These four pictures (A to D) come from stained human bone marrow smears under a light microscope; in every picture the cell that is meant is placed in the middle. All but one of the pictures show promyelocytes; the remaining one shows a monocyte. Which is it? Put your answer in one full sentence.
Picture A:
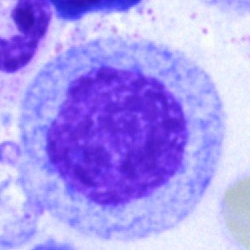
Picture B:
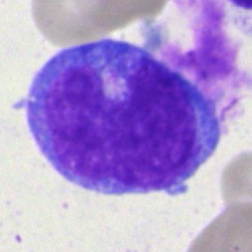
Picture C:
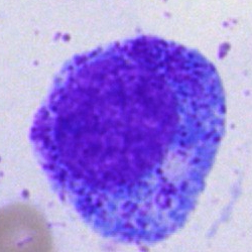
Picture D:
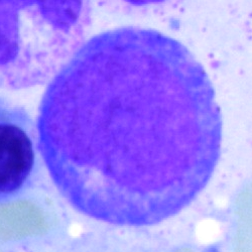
The cell in picture B is the monocyte.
